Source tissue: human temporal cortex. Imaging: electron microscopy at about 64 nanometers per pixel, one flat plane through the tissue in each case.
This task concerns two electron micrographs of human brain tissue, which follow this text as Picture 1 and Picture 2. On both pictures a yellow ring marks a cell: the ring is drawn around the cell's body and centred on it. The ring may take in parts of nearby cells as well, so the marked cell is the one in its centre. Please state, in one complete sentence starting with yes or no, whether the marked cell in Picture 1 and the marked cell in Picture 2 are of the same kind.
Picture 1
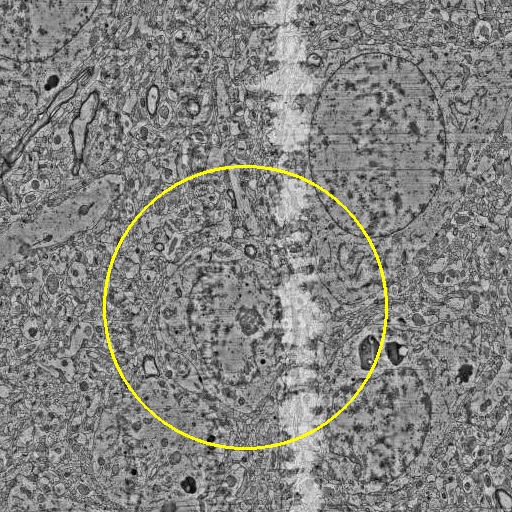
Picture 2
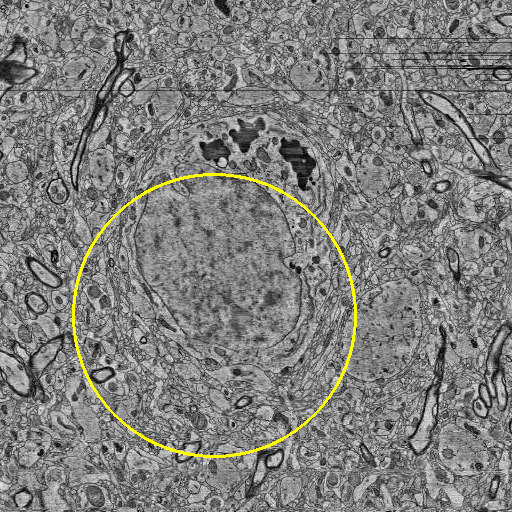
Yes, the marked cells in both pictures are of the same kind.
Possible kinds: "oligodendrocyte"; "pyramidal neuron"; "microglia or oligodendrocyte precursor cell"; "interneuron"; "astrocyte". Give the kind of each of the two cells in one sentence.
Both cells are the same kind, each one being an interneuron.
